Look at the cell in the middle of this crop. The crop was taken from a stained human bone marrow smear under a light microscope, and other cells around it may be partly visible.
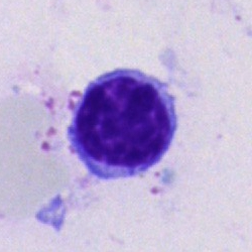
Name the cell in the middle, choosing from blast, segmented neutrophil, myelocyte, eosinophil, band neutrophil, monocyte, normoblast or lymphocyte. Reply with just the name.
lymphocyte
